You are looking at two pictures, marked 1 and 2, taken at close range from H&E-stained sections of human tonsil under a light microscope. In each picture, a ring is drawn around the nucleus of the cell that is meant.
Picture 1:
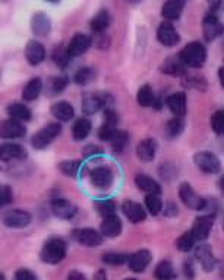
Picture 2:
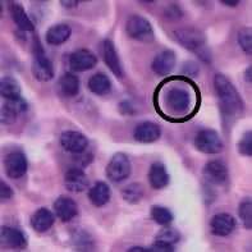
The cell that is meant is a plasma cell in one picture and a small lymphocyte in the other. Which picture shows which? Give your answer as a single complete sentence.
It is picture 1 that shows a small lymphocyte, and picture 2 that shows a plasma cell.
